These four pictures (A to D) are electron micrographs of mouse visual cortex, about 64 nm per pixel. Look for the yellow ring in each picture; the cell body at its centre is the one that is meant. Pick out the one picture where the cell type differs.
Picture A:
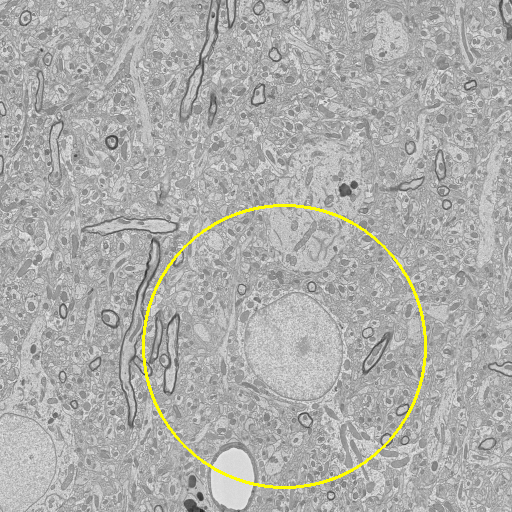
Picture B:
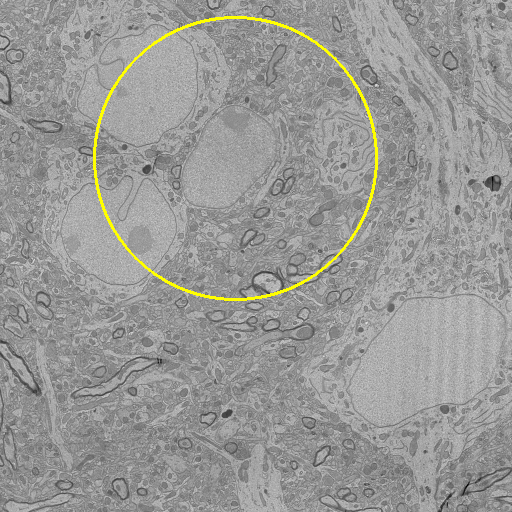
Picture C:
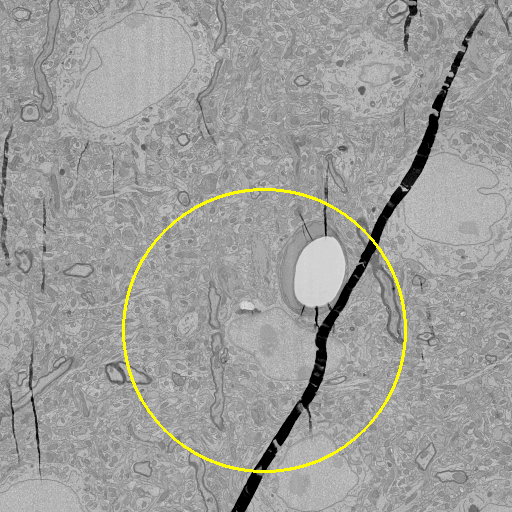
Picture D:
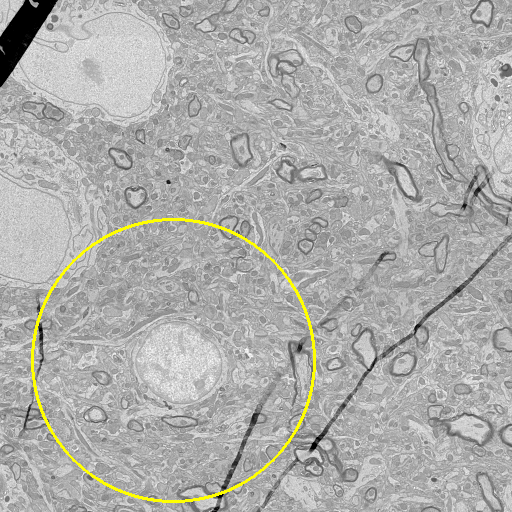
Unlike the rest, which show astrocytes, picture D shows an oligodendrocyte.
